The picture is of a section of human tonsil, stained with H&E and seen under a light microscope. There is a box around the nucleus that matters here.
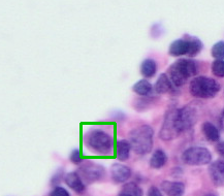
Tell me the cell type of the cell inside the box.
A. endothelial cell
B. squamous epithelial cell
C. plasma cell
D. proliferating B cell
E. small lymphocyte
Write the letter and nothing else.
D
